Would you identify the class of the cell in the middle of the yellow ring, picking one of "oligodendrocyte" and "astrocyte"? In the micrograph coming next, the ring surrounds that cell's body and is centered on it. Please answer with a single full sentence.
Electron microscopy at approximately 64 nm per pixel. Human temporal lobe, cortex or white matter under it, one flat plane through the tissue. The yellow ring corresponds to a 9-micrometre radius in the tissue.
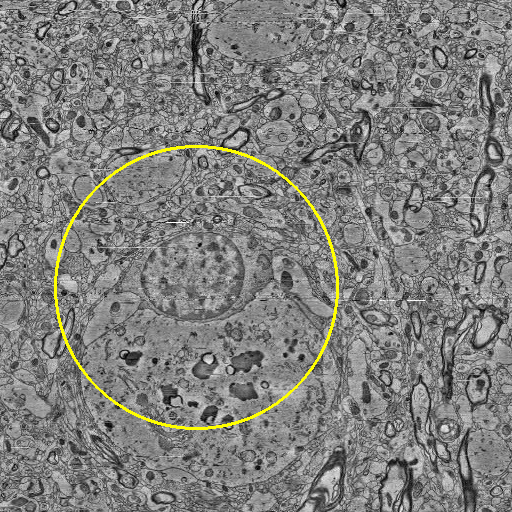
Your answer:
In the micrograph, it is an oligodendrocyte whose body lies at the ring's center.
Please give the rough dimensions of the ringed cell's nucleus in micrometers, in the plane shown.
In this plane, the nucleus of the cell at the centre of the ring measures about 7 by 5 micrometres.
